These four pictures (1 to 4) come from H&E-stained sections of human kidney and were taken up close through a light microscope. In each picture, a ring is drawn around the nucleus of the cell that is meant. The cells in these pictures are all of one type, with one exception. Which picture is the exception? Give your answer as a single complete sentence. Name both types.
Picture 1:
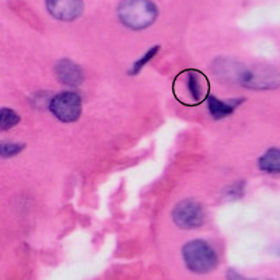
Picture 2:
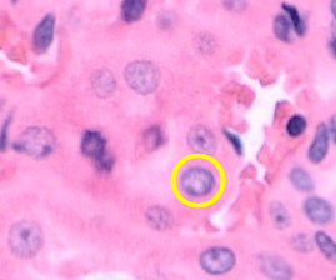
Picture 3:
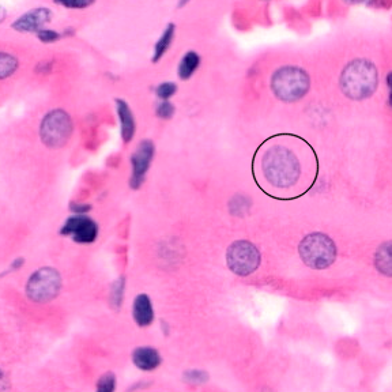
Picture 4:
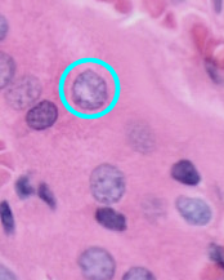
Picture 1 differs, because its cell is an endothelial cell and the rest are proximal tubule cells.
